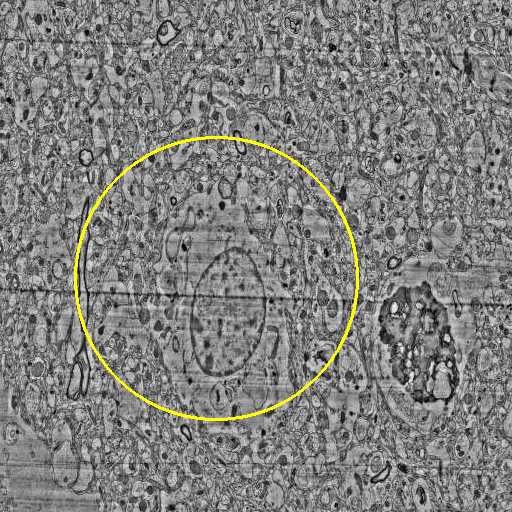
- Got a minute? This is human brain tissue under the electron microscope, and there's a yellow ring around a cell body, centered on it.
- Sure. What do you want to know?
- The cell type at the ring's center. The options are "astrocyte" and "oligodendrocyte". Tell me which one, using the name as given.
astrocyte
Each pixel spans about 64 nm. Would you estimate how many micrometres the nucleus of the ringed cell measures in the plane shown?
The nucleus is approximately 8 micrometres long but only about 5 wide, clearly longer than it is wide in this plane.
